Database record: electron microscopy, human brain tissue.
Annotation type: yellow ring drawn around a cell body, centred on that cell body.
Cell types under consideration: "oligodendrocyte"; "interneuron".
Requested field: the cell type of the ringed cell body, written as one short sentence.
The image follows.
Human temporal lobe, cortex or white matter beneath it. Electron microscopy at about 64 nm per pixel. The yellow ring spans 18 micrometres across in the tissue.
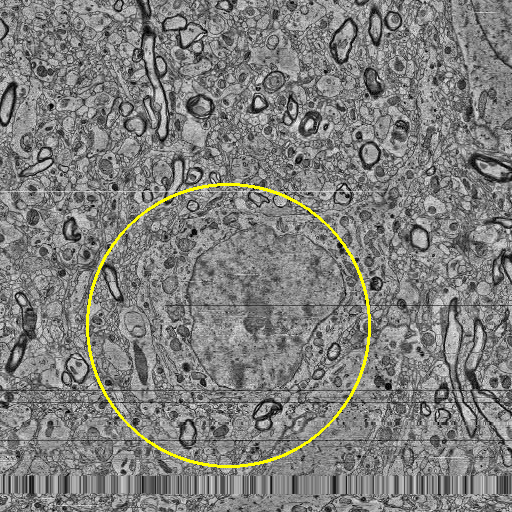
The ringed cell body represents an interneuron.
